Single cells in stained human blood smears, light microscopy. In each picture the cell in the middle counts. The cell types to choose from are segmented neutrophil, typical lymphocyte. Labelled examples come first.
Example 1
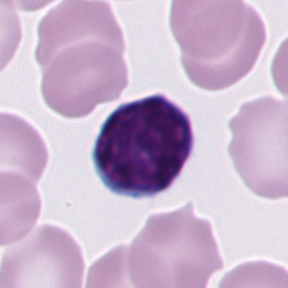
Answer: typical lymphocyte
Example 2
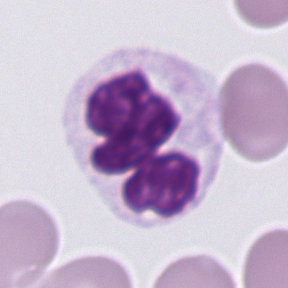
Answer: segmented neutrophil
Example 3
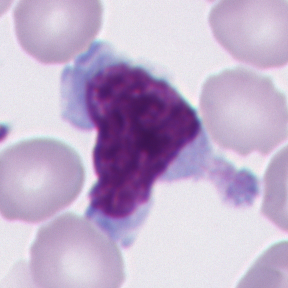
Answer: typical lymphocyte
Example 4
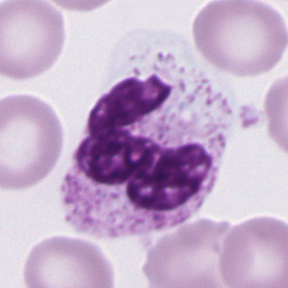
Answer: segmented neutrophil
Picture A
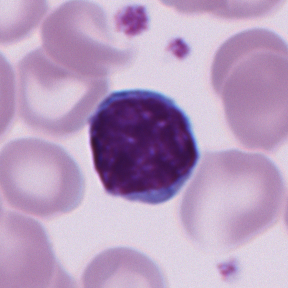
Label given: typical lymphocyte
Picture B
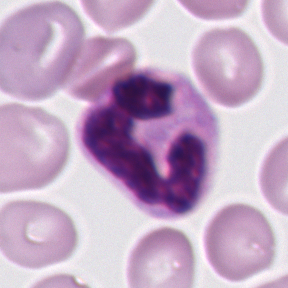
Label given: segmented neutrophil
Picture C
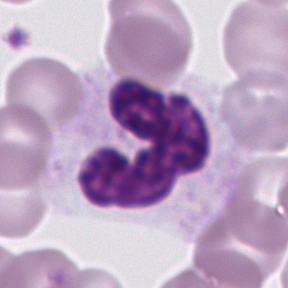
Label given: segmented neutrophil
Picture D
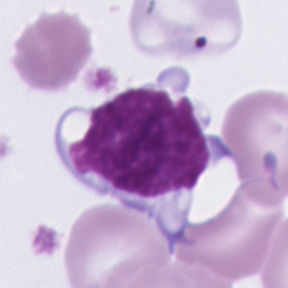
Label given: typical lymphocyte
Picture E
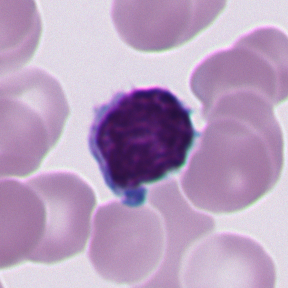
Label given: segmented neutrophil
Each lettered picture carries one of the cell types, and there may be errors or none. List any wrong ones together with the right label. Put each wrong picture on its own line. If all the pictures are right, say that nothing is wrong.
E: not segmented neutrophil but typical lymphocyte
